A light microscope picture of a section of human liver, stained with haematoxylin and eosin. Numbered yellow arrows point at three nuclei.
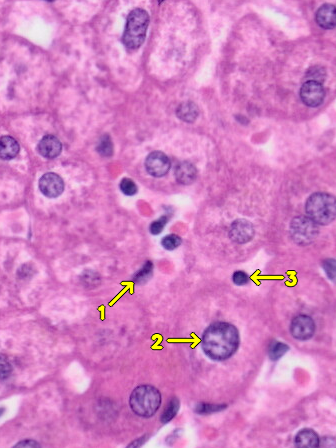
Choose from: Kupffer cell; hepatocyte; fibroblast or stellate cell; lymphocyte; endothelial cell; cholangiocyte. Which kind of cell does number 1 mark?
endothelial cell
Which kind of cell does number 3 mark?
lymphocyte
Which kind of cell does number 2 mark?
hepatocyte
